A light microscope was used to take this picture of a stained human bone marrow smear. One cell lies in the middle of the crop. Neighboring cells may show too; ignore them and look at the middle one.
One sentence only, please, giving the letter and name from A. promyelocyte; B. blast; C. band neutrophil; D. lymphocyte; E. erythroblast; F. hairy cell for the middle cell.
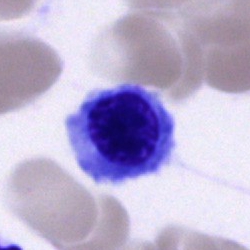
In this crop the middle cell is an erythroblast, so option E is the correct answer.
